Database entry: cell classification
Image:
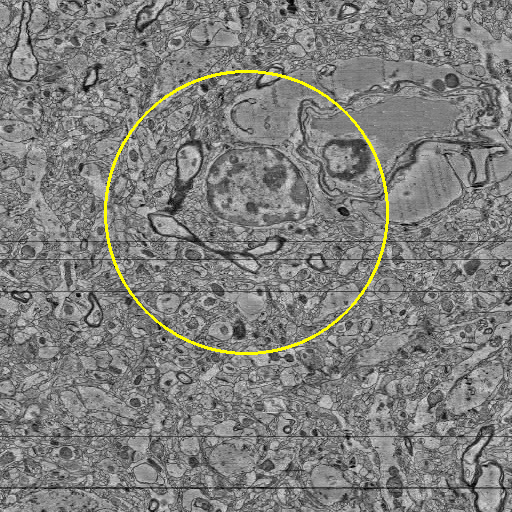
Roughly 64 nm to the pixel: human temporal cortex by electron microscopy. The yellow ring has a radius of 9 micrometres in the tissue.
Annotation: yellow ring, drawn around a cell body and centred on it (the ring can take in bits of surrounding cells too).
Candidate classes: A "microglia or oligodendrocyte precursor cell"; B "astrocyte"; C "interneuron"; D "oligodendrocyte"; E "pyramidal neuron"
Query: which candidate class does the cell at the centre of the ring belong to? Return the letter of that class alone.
A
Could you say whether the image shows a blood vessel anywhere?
Yes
